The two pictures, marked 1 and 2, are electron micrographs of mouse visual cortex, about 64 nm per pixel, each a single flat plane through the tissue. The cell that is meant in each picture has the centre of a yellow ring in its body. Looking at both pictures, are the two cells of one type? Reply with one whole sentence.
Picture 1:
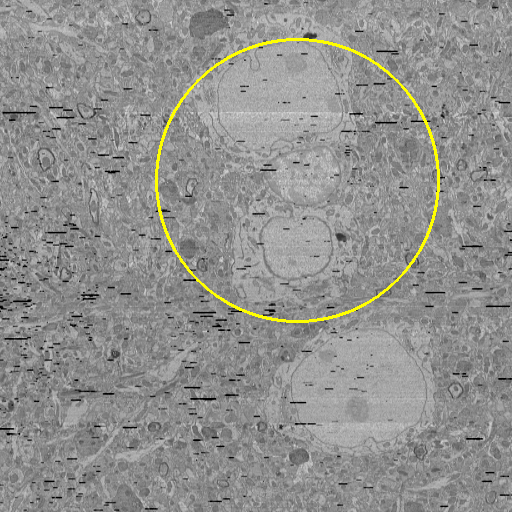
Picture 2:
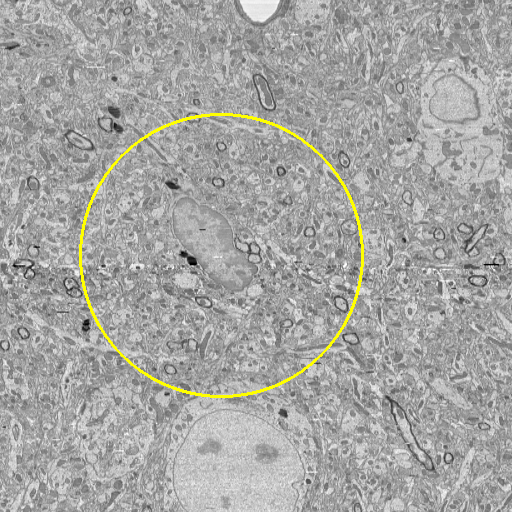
No, they differ: the cell is an oligodendrocyte in picture 1 and a microglial cell in picture 2.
